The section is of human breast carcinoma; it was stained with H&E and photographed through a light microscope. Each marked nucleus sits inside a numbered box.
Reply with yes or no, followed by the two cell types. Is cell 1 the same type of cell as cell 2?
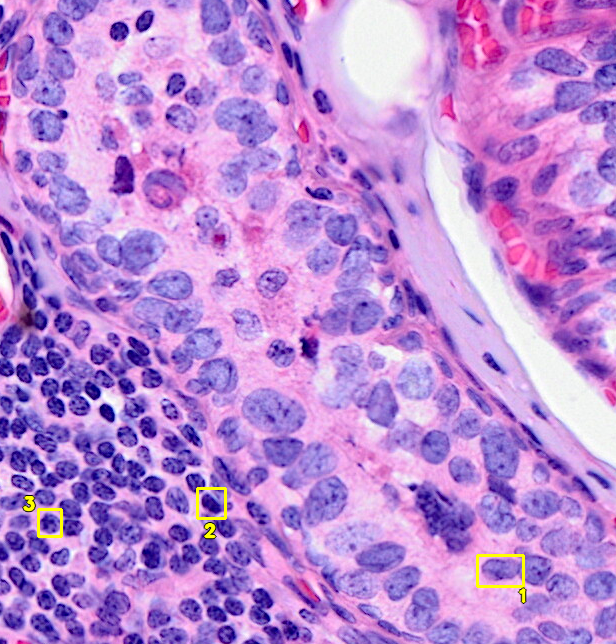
No, cell 1 is a carcinoma cell whereas cell 2 is a lymphocyte.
